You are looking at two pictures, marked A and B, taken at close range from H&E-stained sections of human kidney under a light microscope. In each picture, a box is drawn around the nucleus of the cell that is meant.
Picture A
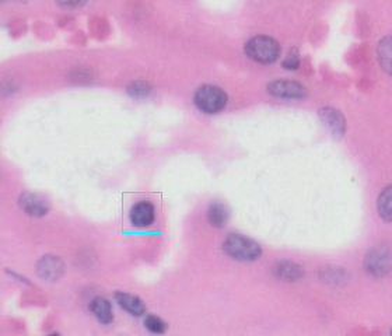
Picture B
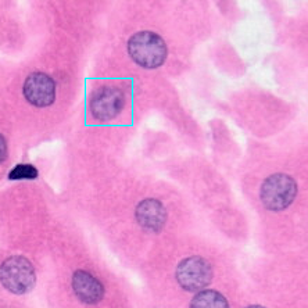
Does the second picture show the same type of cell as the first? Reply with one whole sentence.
No, they differ: the cell is a “loop of Henle or distal tubule cell” in picture A and a proximal tubule cell in picture B.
